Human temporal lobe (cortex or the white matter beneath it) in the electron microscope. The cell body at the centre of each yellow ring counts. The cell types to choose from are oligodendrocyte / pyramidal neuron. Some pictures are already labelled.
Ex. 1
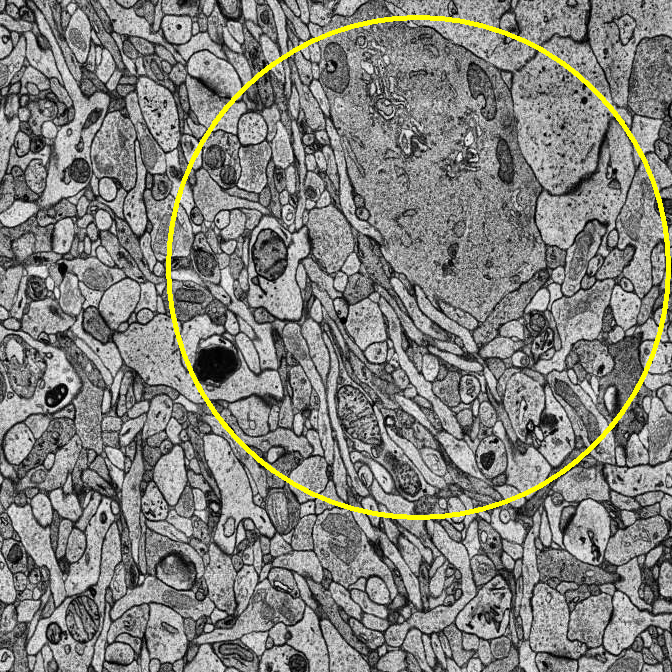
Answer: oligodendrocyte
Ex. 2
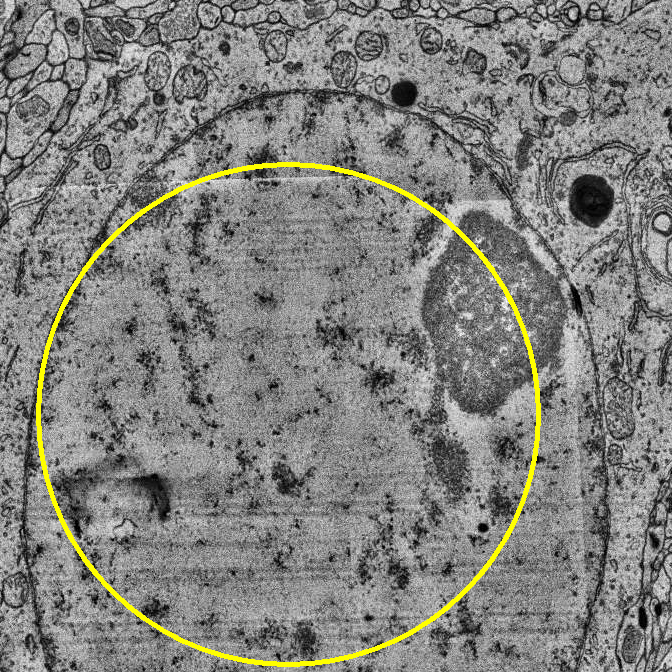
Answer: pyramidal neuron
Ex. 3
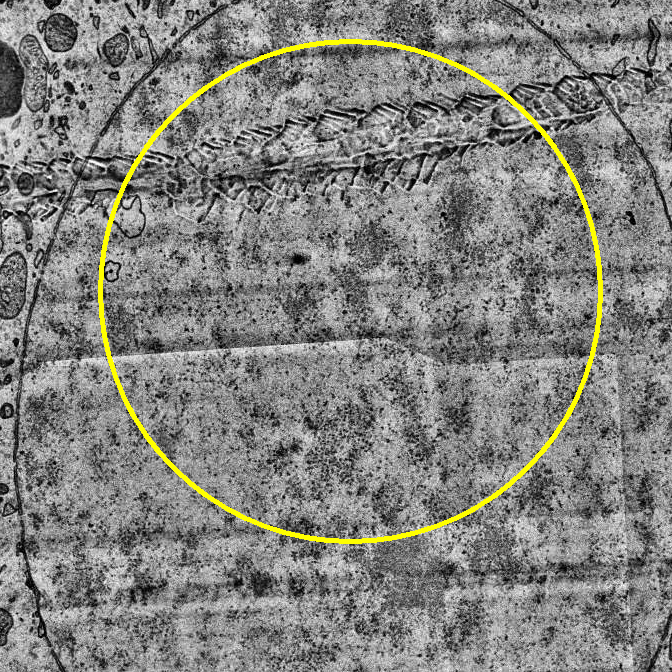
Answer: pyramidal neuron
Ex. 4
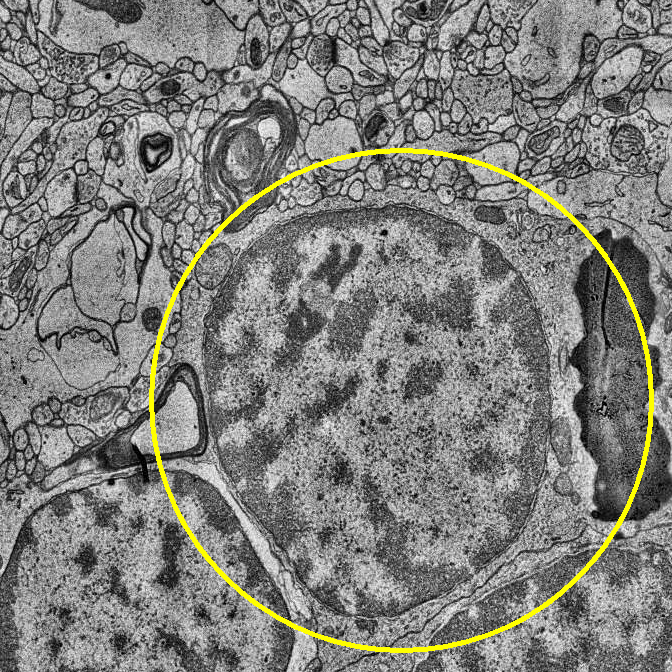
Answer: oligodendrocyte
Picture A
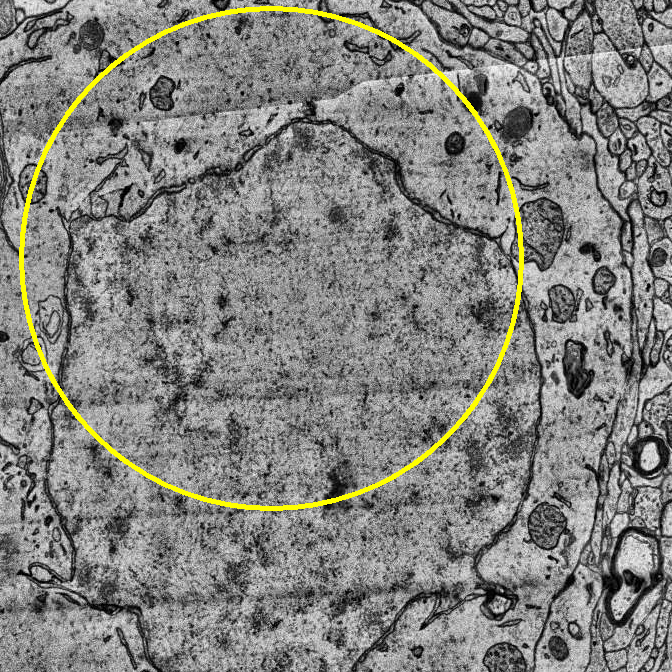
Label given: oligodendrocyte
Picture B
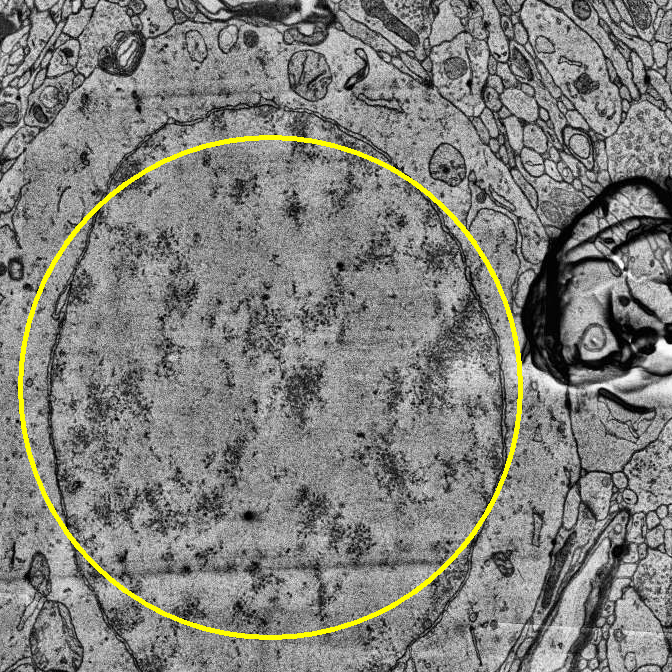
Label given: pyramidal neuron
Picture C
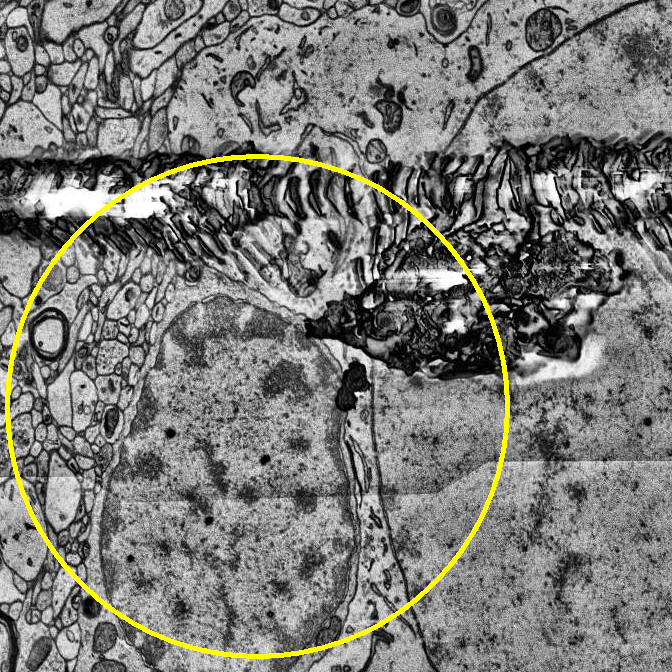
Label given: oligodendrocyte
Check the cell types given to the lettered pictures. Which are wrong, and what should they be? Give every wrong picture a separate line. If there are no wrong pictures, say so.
A is labelled oligodendrocyte; correct label: pyramidal neuron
